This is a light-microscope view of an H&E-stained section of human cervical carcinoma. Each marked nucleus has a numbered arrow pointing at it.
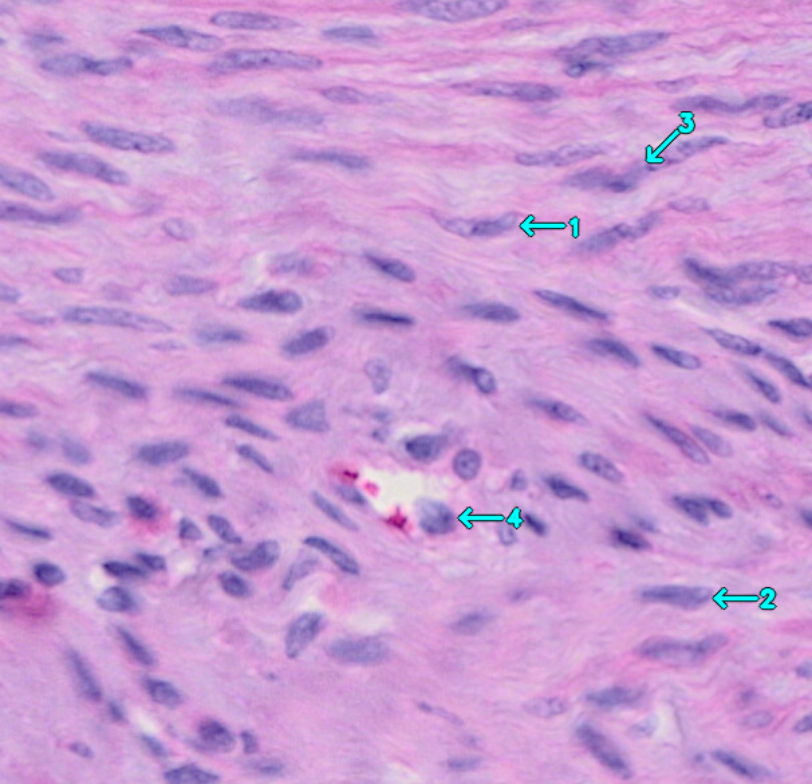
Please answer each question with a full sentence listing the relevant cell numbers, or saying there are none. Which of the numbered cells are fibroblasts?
Cell 2 is a fibroblast, and that holds for no other numbered cell.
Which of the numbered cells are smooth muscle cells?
Cells 1 and 3 in the section are typed as smooth muscle cells.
